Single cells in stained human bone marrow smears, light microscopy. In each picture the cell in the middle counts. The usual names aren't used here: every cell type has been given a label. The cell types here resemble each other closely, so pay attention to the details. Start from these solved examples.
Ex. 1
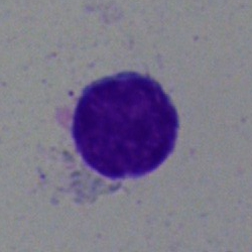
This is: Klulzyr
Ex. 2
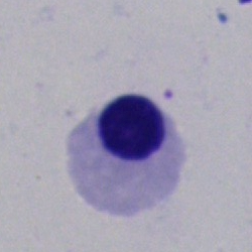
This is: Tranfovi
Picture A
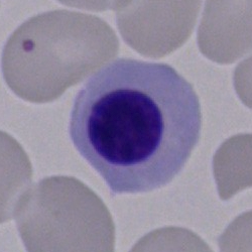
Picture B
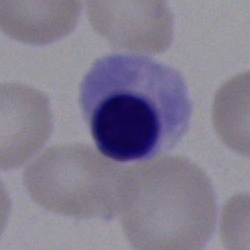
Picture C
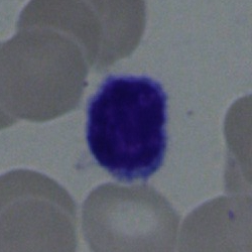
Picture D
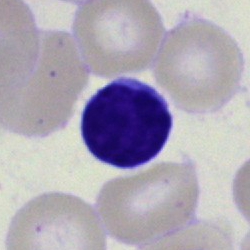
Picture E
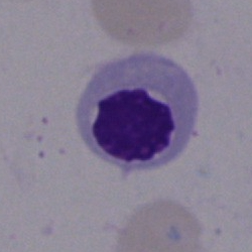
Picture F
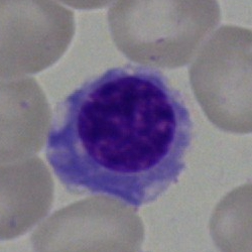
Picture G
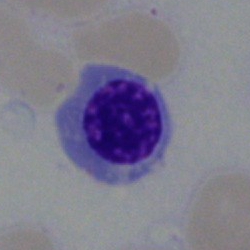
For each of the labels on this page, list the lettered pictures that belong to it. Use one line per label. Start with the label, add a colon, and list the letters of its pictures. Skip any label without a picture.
Klulzyr: C, D
Tranfovi: A, B, E, F, G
